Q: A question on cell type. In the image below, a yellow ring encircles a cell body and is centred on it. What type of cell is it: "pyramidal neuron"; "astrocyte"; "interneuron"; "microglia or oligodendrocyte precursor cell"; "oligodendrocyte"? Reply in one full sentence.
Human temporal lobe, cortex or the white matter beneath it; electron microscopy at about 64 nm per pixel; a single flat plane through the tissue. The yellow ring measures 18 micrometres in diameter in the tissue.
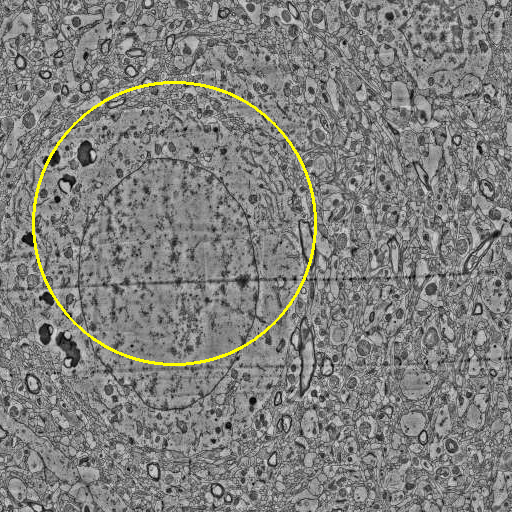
It is a pyramidal neuron whose cell body sits at the centre of the yellow ring in the image.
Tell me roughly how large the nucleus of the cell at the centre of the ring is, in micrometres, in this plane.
In this plane the nucleus spans approximately 16 by 12 micrometers.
